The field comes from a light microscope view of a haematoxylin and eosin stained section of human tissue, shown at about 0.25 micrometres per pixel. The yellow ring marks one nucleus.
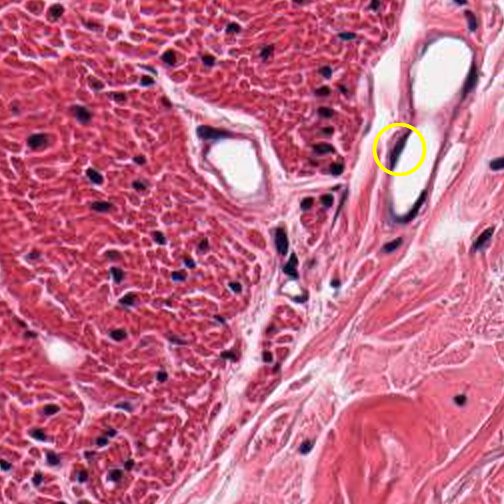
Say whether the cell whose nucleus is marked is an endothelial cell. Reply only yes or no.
yes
